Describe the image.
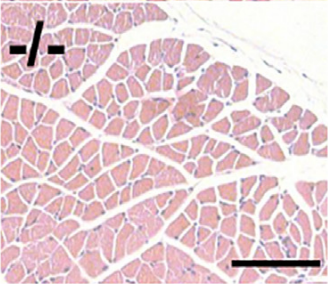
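A transverse section of skeletal muscle shows myofibers in cross section as tightly packed, angular pink profiles. Small dark nuclei lie at the fiber edges. Pale bands of connective tissue divide the fibers into bundles, and a wider pale area with a few elongated nuclei runs along the upper right.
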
